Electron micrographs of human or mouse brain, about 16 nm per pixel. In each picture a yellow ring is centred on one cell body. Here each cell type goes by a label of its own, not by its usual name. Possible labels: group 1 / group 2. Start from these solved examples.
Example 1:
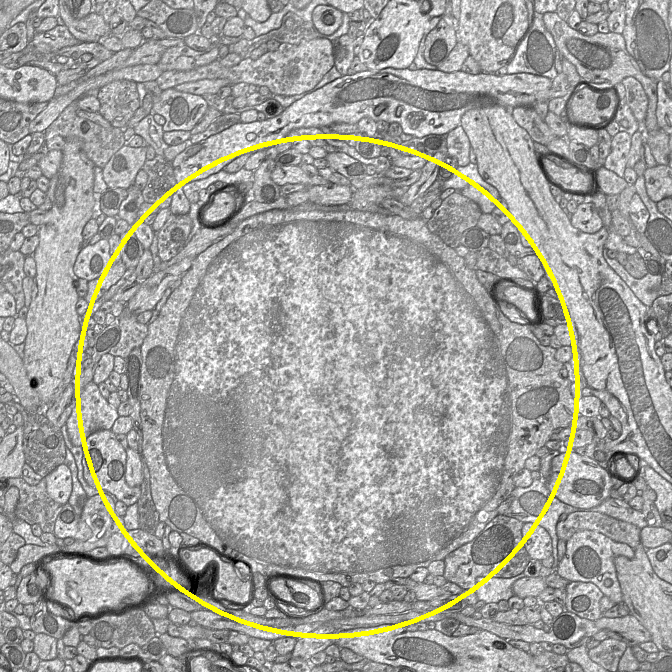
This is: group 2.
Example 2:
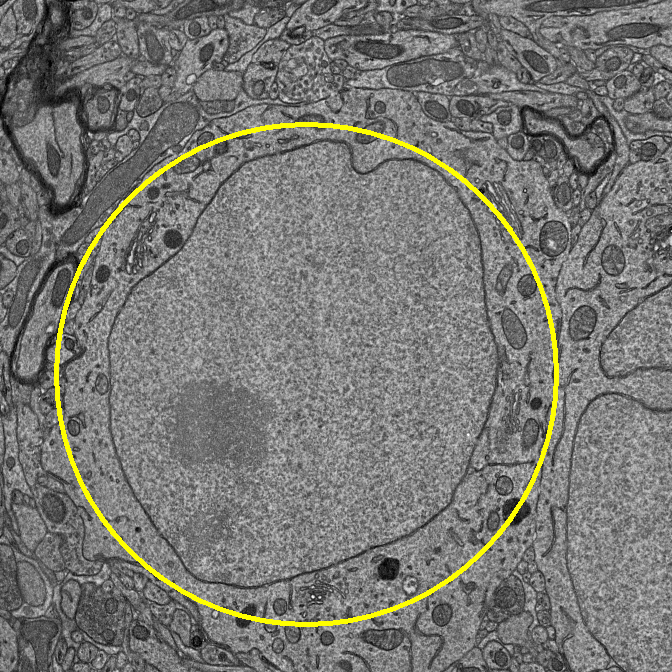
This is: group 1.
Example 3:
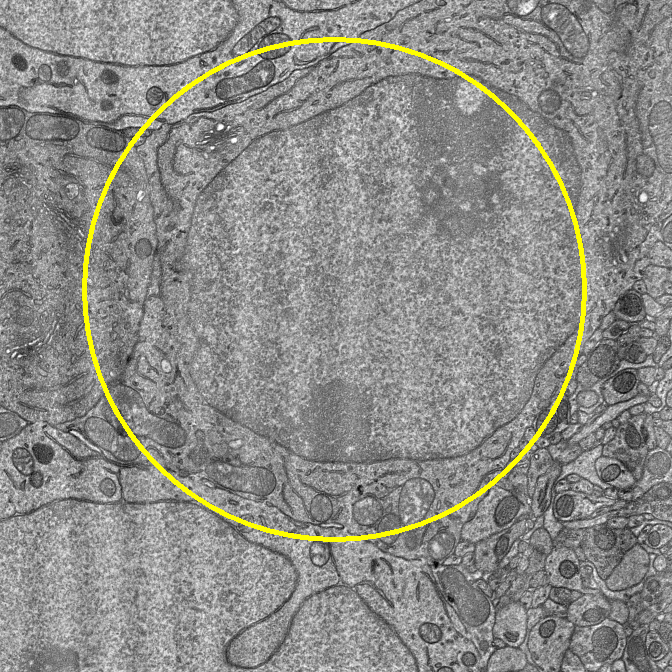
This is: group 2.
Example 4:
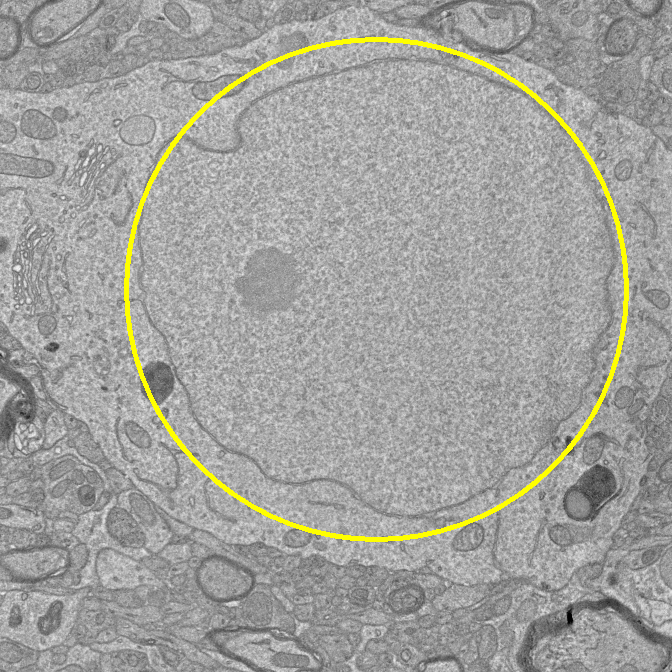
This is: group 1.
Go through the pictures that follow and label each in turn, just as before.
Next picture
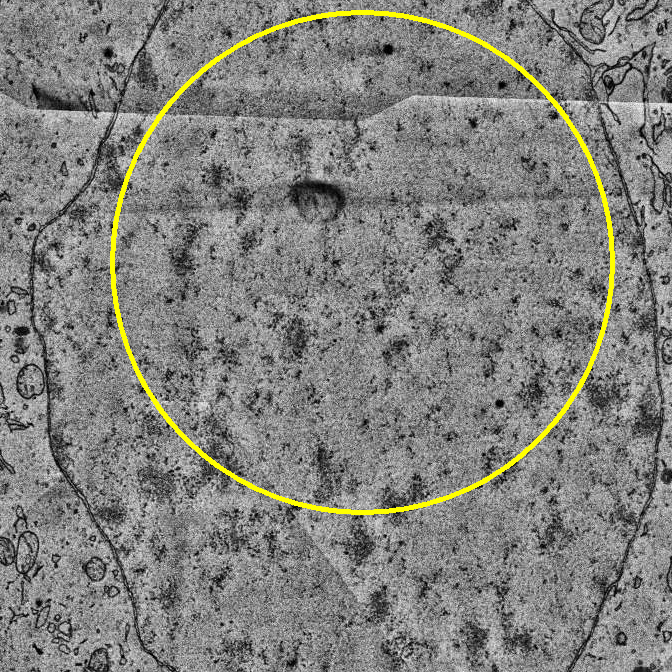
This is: group 1.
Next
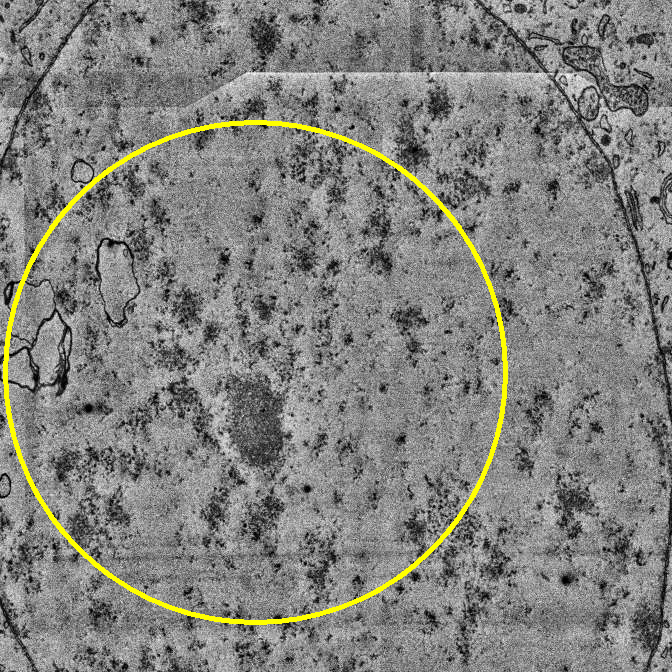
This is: group 1.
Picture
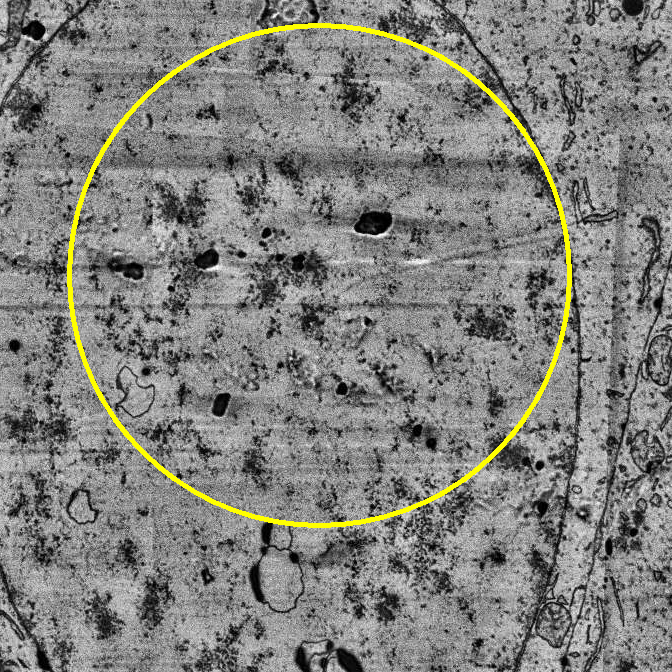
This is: group 1.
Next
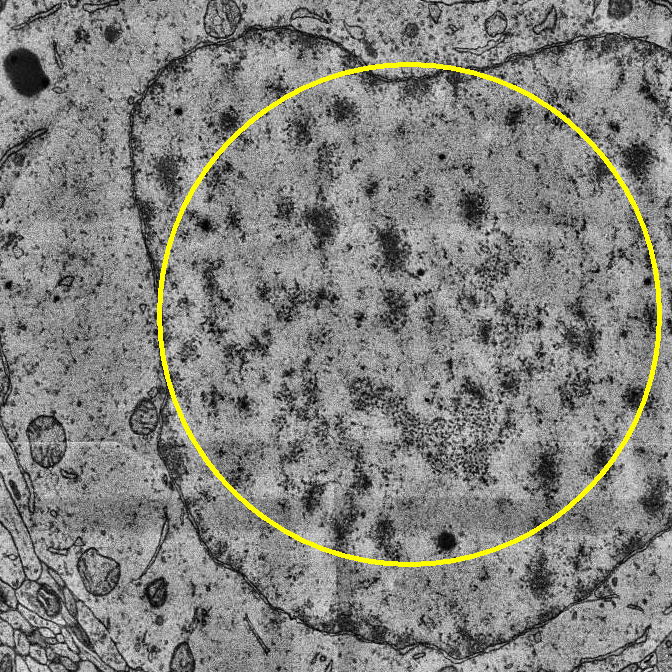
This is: group 1.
